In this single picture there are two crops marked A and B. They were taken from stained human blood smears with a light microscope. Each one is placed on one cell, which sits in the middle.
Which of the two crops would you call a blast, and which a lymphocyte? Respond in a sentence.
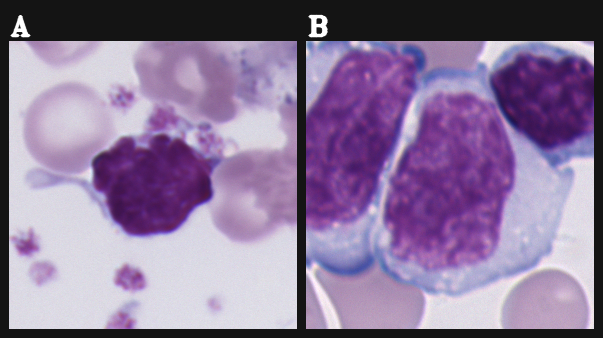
Here crop A is a lymphocyte, and crop B is a blast.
